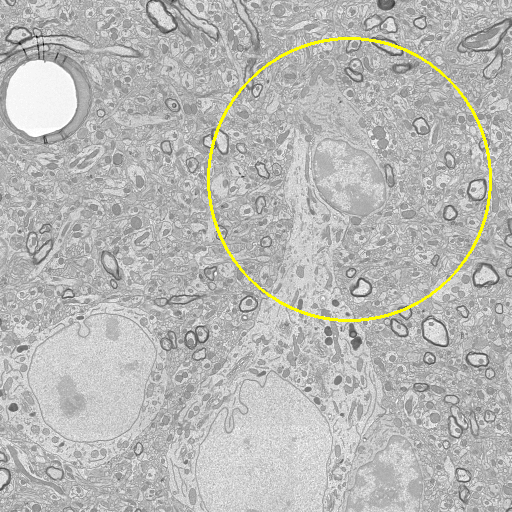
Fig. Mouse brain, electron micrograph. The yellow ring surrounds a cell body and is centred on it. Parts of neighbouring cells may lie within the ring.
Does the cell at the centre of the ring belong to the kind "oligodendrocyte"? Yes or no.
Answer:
yes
